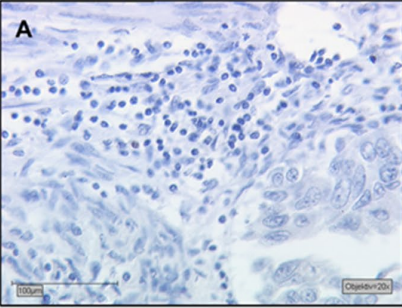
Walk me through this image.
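This is tumour tissue with a cluster of small lymphocytic cells in loose stroma, all nuclei blue and none visibly brown. The lymphocytic cells have small, round, dark blue nuclei with scant cytoplasm and lie crowded in the left and central field. To the lower right lie larger cells with bigger, paler, oval nuclei and more abundant cytoplasm. Pale, loose stroma and clear spaces separate these groups.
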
